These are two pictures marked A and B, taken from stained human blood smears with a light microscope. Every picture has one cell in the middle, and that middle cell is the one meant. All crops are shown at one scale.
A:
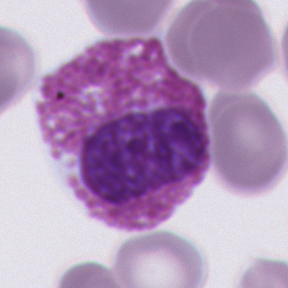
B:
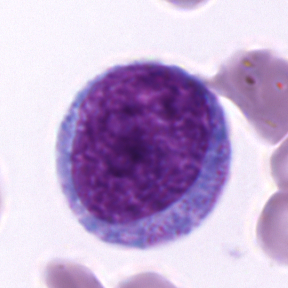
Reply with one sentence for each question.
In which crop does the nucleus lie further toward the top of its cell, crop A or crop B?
It is the nucleus in crop B that lies further toward the top of its cell.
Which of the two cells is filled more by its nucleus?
Of the two, the nucleus in crop B makes up the greater part of its cell.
